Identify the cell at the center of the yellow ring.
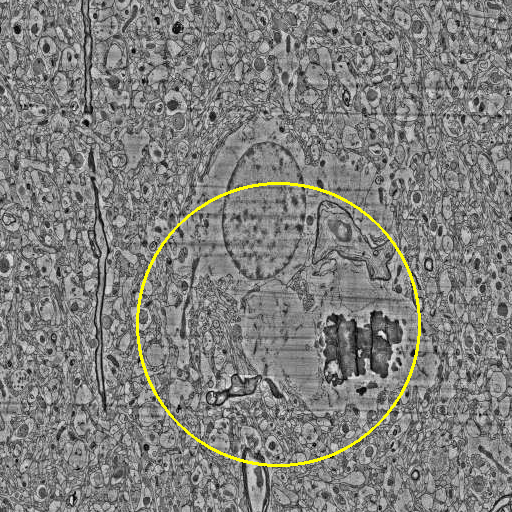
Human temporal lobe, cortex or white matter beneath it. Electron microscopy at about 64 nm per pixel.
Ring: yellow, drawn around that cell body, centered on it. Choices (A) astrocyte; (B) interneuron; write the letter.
A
